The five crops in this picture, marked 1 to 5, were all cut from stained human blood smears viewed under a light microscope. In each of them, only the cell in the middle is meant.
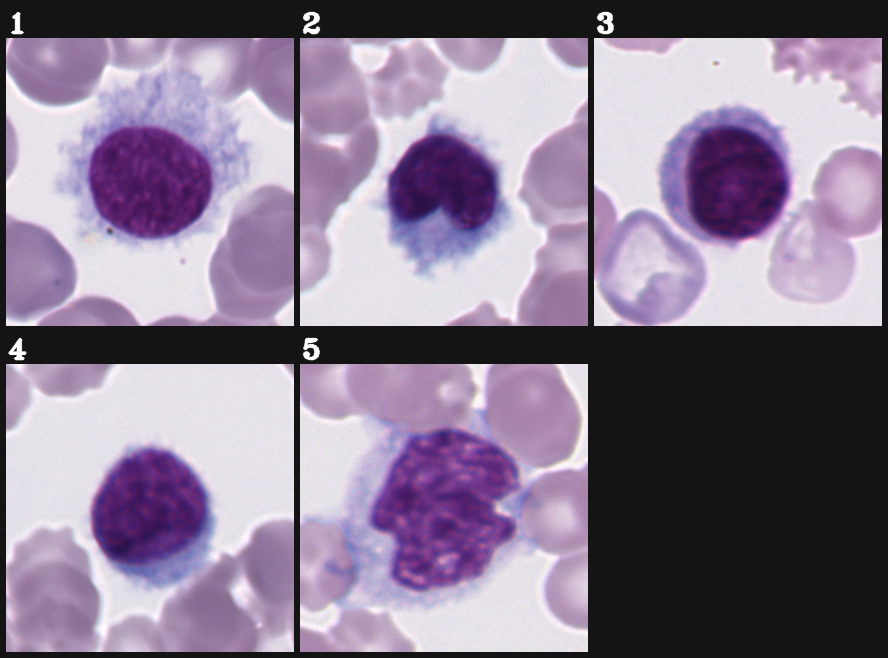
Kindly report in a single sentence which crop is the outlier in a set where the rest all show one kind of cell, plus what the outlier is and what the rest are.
Unlike the rest, which all show hairy cells, crop 5 contains a monocyte.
